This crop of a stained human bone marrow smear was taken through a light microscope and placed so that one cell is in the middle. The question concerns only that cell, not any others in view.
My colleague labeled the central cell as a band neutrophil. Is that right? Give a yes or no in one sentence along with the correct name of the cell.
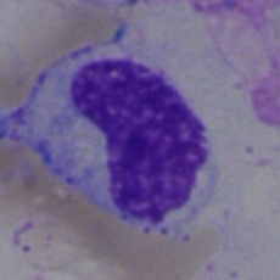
Yes, that middle cell in the crop is a band neutrophil.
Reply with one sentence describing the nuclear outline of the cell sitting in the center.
The nucleus is one compact mass, round, oval or kidney-shaped in outline.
